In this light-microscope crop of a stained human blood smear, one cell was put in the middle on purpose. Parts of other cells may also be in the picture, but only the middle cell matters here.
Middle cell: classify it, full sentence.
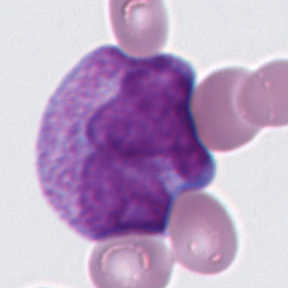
This crop is built around an atypical promyelocyte at its centre.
